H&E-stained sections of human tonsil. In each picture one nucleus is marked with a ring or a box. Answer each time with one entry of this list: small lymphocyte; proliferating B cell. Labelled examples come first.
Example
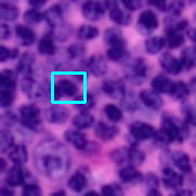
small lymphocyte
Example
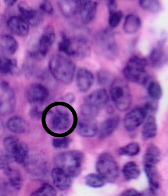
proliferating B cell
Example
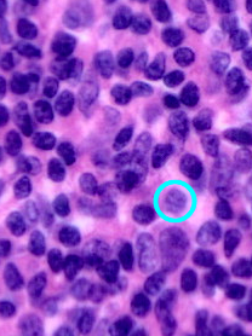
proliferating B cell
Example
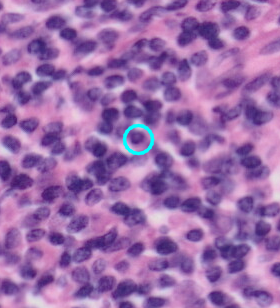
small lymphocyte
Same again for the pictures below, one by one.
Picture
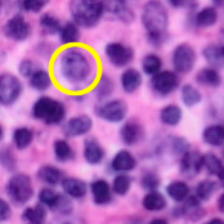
proliferating B cell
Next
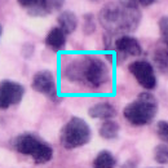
proliferating B cell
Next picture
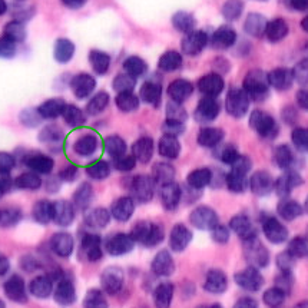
small lymphocyte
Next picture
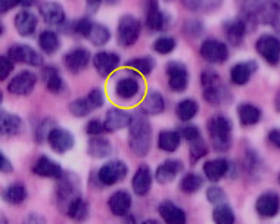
small lymphocyte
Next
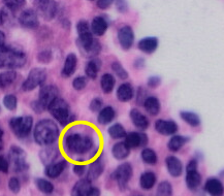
proliferating B cell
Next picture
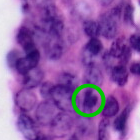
proliferating B cell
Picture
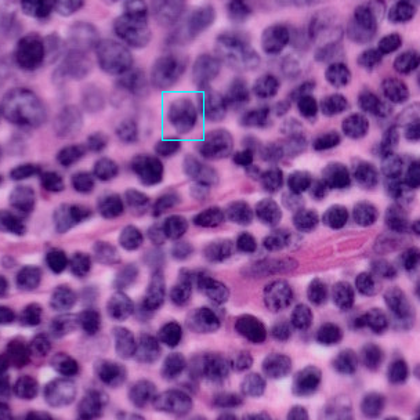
proliferating B cell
